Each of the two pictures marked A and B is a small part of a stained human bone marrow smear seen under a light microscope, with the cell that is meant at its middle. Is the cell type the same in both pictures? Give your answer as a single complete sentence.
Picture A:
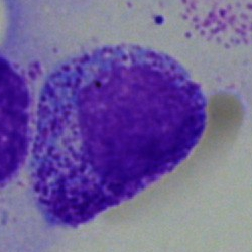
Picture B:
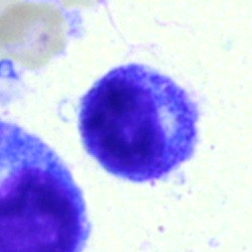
Yes, the two pictures both show myelocytes.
